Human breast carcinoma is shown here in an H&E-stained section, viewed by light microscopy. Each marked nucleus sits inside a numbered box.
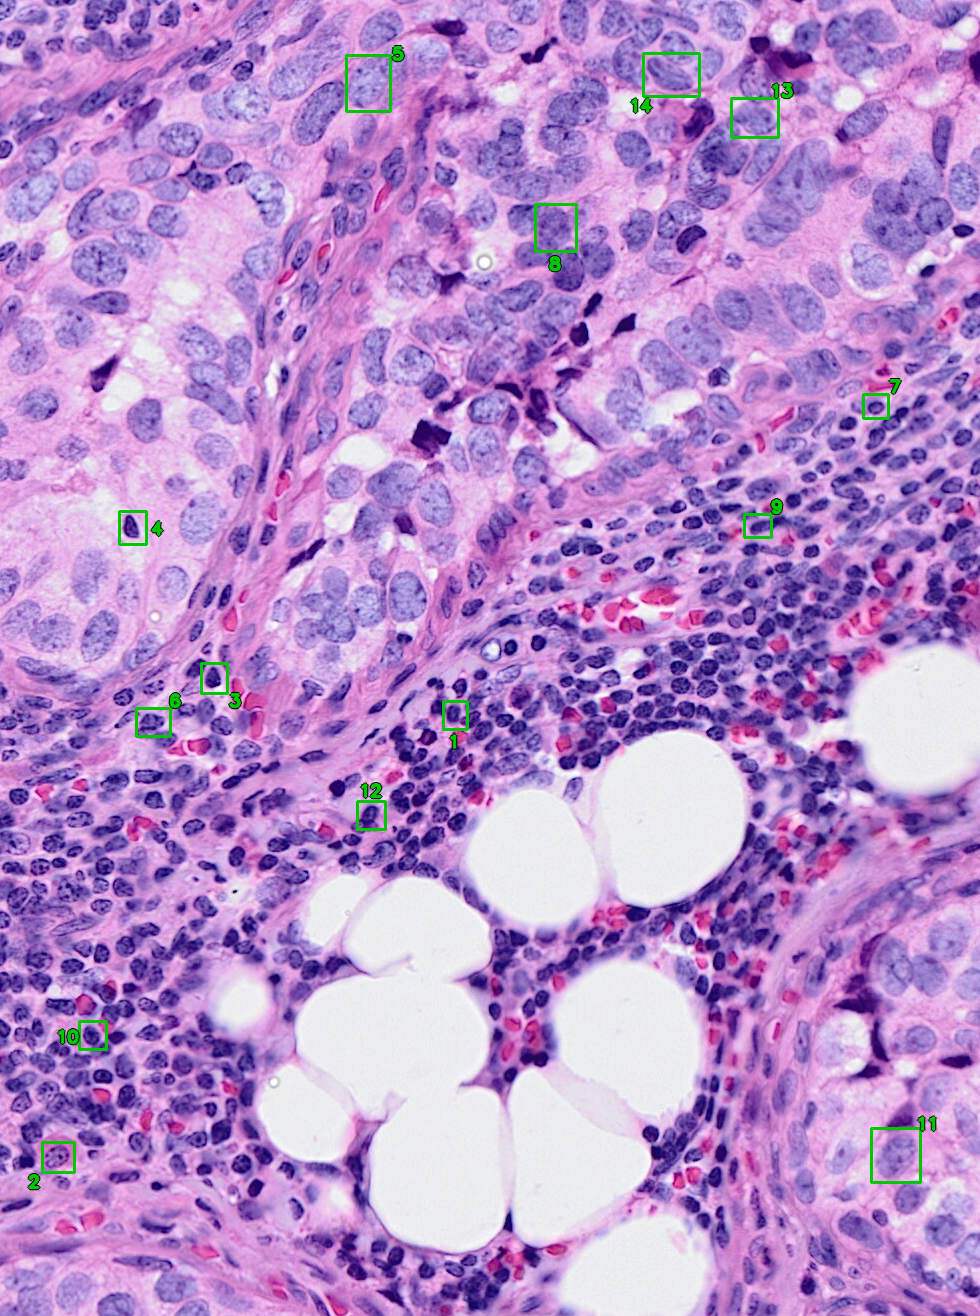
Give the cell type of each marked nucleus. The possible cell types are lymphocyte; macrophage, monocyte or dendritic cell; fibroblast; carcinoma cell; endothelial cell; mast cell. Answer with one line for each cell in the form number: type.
1: lymphocyte
2: mast cell
3: lymphocyte
4: lymphocyte
5: carcinoma cell
6: lymphocyte
7: lymphocyte
8: carcinoma cell
9: lymphocyte
10: lymphocyte
11: carcinoma cell
12: lymphocyte
13: carcinoma cell
14: carcinoma cell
